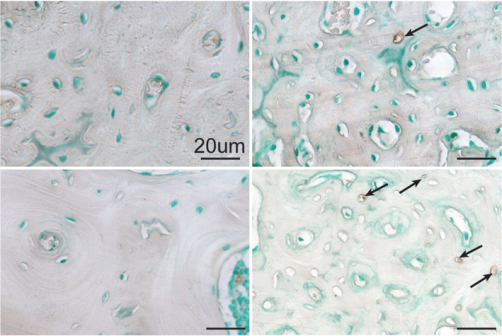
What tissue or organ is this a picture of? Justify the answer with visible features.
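Dense pale matrix with scattered small lacunae holding single cells. Concentric layering around canal-like spaces. So: cortical bone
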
